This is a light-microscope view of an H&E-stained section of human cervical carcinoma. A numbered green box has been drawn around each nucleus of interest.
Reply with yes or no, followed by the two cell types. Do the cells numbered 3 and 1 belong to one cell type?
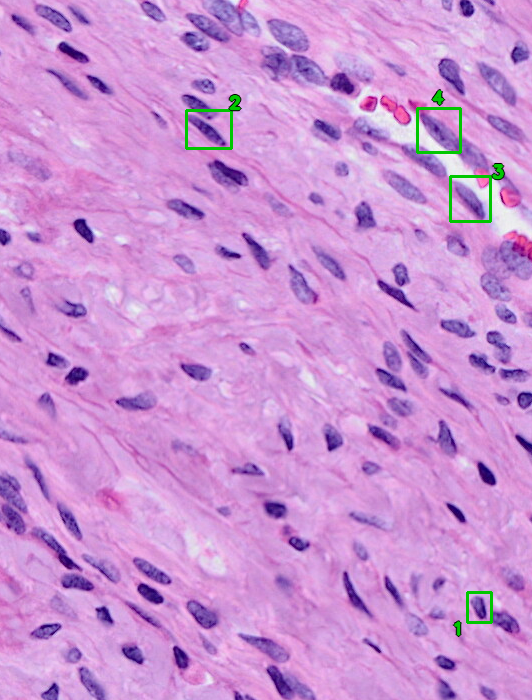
No, cell 3 is an endothelial cell and cell 1 is a lymphocyte.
